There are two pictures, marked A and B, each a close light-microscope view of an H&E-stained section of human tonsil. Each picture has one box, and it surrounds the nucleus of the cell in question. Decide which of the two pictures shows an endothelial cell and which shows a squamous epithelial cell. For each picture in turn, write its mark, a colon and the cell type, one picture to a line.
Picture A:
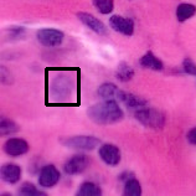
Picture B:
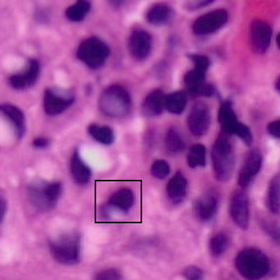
A: endothelial cell
B: squamous epithelial cell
